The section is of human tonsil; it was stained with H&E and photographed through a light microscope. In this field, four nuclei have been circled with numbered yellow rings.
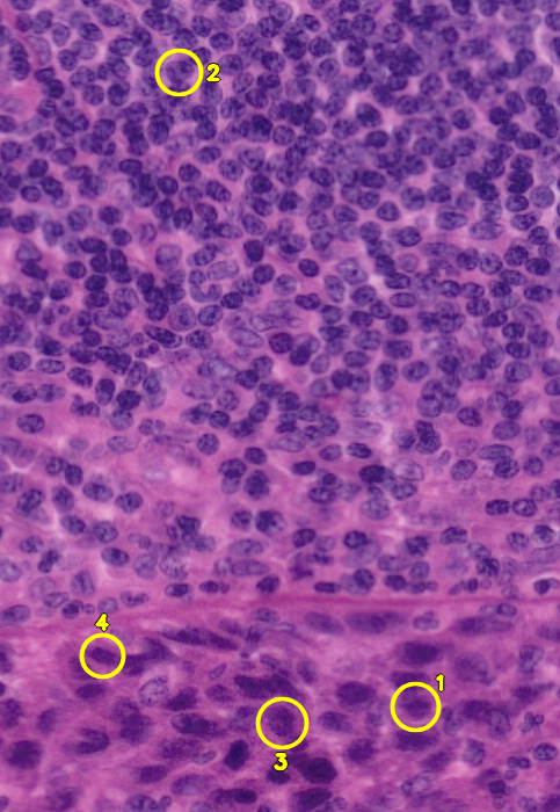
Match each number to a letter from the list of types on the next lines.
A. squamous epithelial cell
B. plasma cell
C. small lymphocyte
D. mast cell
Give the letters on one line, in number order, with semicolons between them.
A; C; A; A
